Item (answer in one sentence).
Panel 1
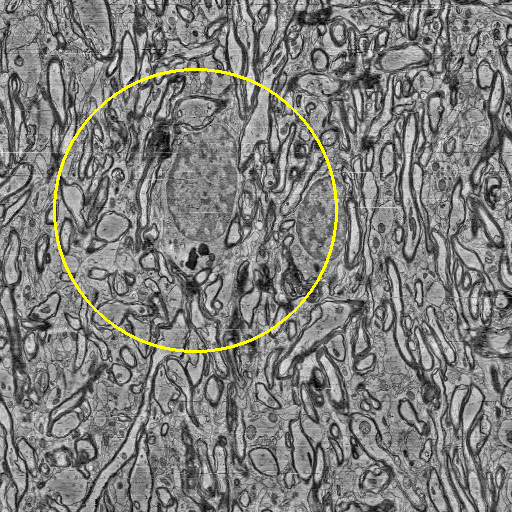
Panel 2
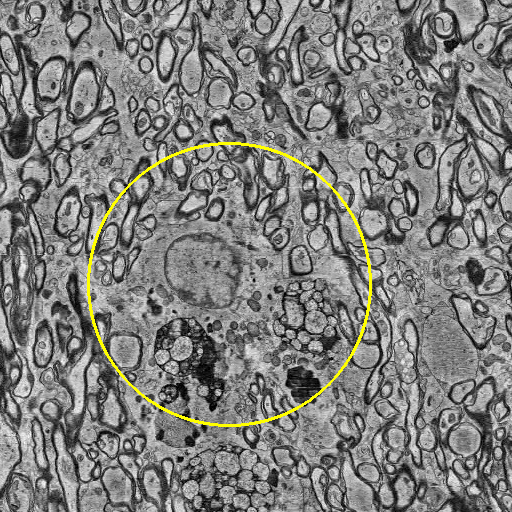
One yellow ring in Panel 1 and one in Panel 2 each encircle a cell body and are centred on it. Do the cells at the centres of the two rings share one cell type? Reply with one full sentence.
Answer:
No, Panel 1 and Panel 2 show cells of two types at the centres of their rings.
